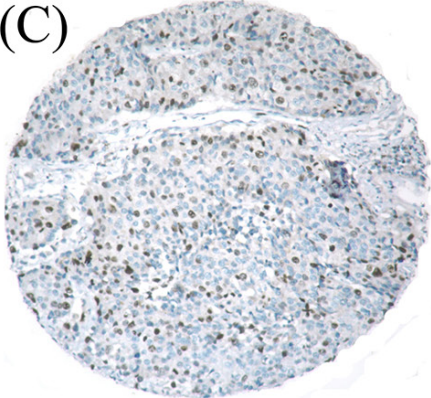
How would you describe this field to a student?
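Sheets of closely packed rounded tumor cells fill most of the core, divided by thin strands of stroma. Many nuclei are tinted a moderate brown, scattered among blue nuclei.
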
